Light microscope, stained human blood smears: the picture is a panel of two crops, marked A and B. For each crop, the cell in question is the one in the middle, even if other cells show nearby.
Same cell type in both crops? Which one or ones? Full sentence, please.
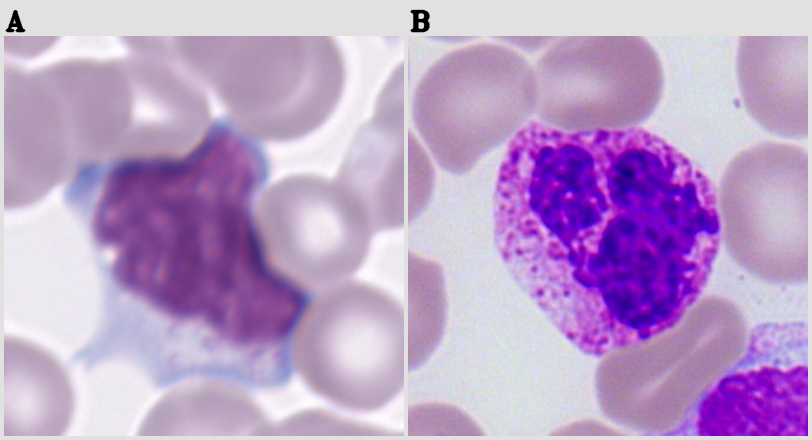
No, the cell that crop A shows is a lymphocyte, and the one crop B shows is a basophil.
